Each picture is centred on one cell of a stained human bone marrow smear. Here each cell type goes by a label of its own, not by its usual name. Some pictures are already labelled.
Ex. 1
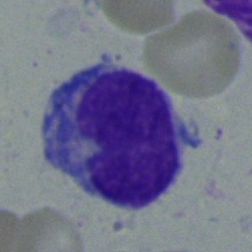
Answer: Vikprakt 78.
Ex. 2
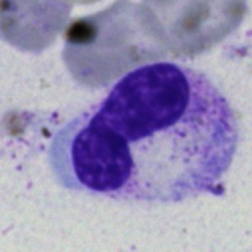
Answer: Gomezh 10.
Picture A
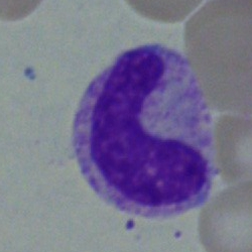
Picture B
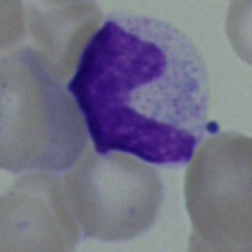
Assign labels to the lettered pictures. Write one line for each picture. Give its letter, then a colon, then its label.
A: Gomezh 10.
B: Gomezh 10.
